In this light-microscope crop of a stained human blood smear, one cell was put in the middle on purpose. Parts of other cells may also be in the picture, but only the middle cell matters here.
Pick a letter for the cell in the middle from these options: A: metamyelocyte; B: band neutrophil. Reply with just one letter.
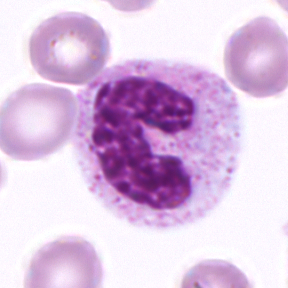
B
